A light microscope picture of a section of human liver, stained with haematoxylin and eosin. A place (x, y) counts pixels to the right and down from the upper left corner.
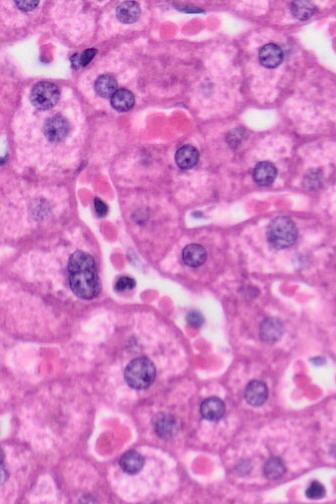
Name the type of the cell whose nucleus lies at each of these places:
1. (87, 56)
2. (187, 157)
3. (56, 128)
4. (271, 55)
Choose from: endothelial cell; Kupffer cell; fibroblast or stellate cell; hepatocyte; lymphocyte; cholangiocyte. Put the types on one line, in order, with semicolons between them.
fibroblast or stellate cell; hepatocyte; hepatocyte; hepatocyte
